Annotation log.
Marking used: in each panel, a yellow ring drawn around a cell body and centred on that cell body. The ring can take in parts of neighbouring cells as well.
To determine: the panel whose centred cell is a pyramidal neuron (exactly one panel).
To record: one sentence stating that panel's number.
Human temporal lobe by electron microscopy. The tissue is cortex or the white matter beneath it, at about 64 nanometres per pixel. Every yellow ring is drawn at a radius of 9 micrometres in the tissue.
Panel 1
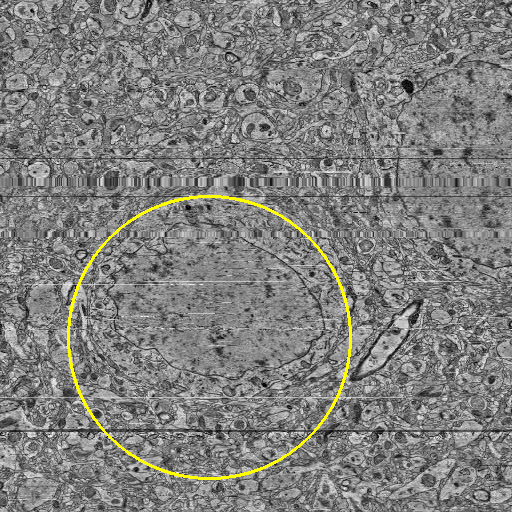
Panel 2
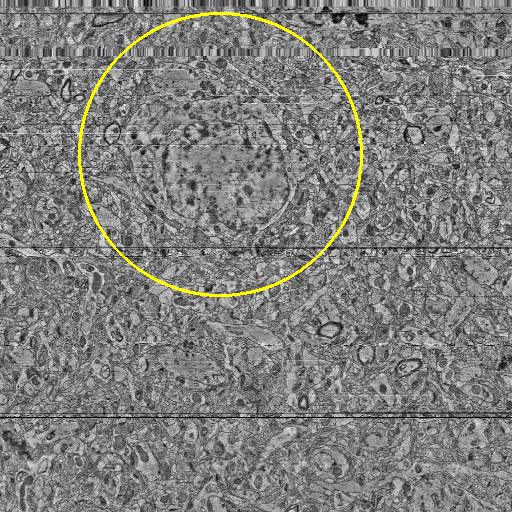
Panel 1 shows it at the centre of its ring.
